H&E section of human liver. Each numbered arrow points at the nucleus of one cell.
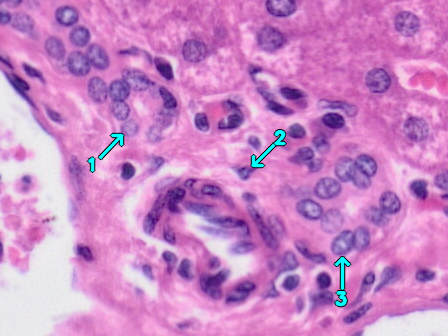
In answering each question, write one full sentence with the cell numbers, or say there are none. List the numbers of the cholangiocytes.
When it comes to cells 1 and 3, they are cholangiocytes.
